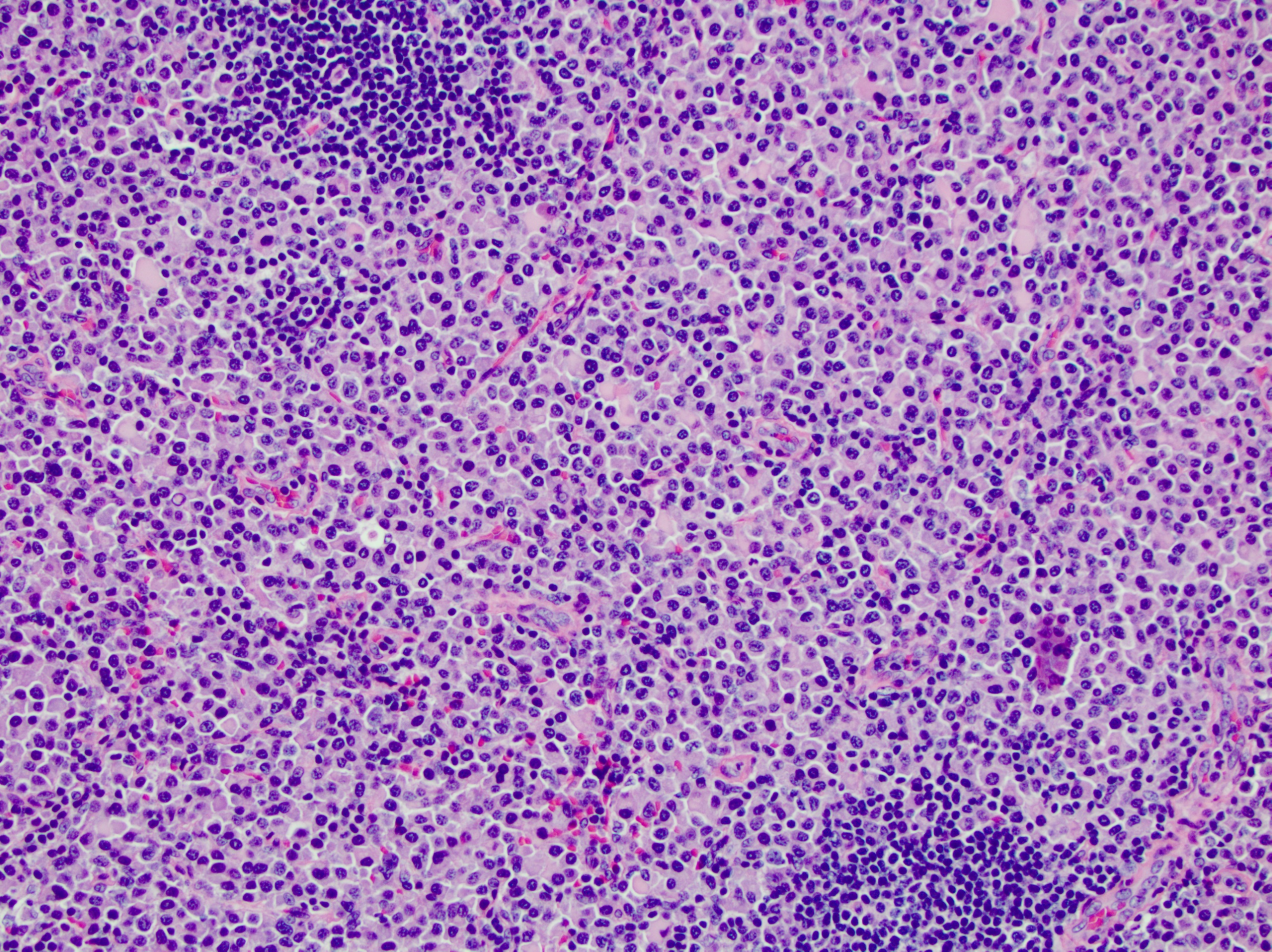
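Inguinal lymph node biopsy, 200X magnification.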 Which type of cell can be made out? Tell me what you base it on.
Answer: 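Most cells have a round, eccentrically placed nucleus. The cells have a moderate amount of purple-pink cytoplasm. The cells lie packed in broad sheets across the field.
Plasma cells.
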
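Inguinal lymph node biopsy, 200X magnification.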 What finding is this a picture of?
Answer: Efface the nodal architecture.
